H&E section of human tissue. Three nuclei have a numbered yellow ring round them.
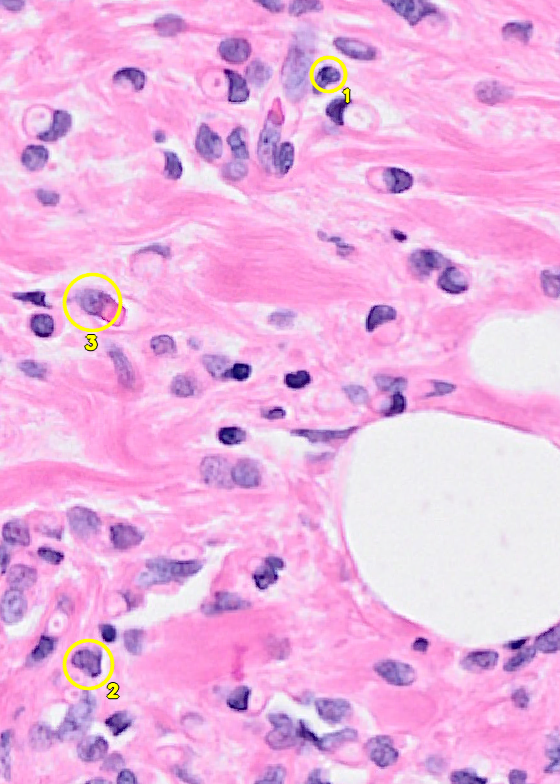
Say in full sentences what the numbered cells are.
Cell 1 is a lymphocyte. Cell 2 is a carcinoma cell. Cell 3 is an endothelial cell.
